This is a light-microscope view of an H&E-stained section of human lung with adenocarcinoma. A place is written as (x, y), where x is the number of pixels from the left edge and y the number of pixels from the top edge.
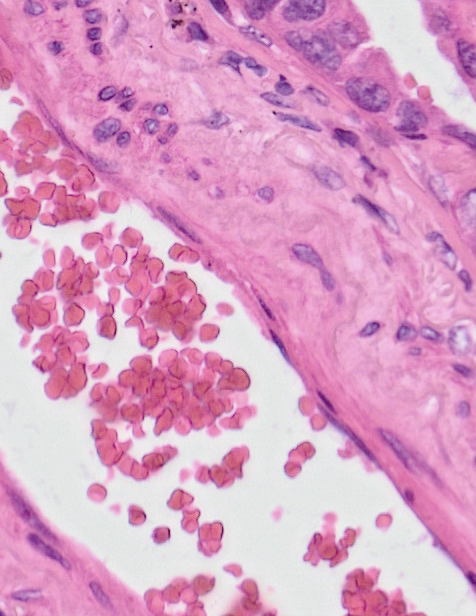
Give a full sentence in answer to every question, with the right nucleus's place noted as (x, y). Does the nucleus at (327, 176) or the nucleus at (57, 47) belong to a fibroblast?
The nucleus whose cell is a fibroblast is the one at (327, 176).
